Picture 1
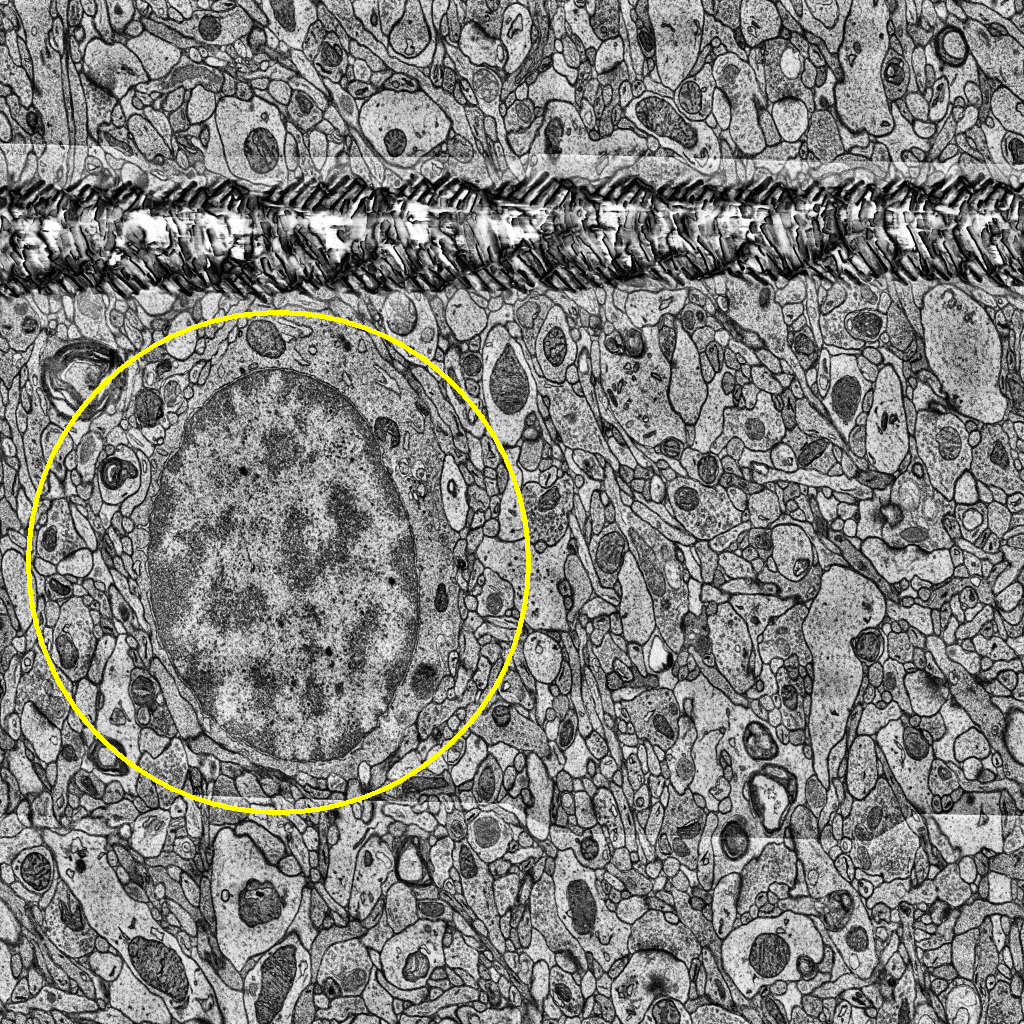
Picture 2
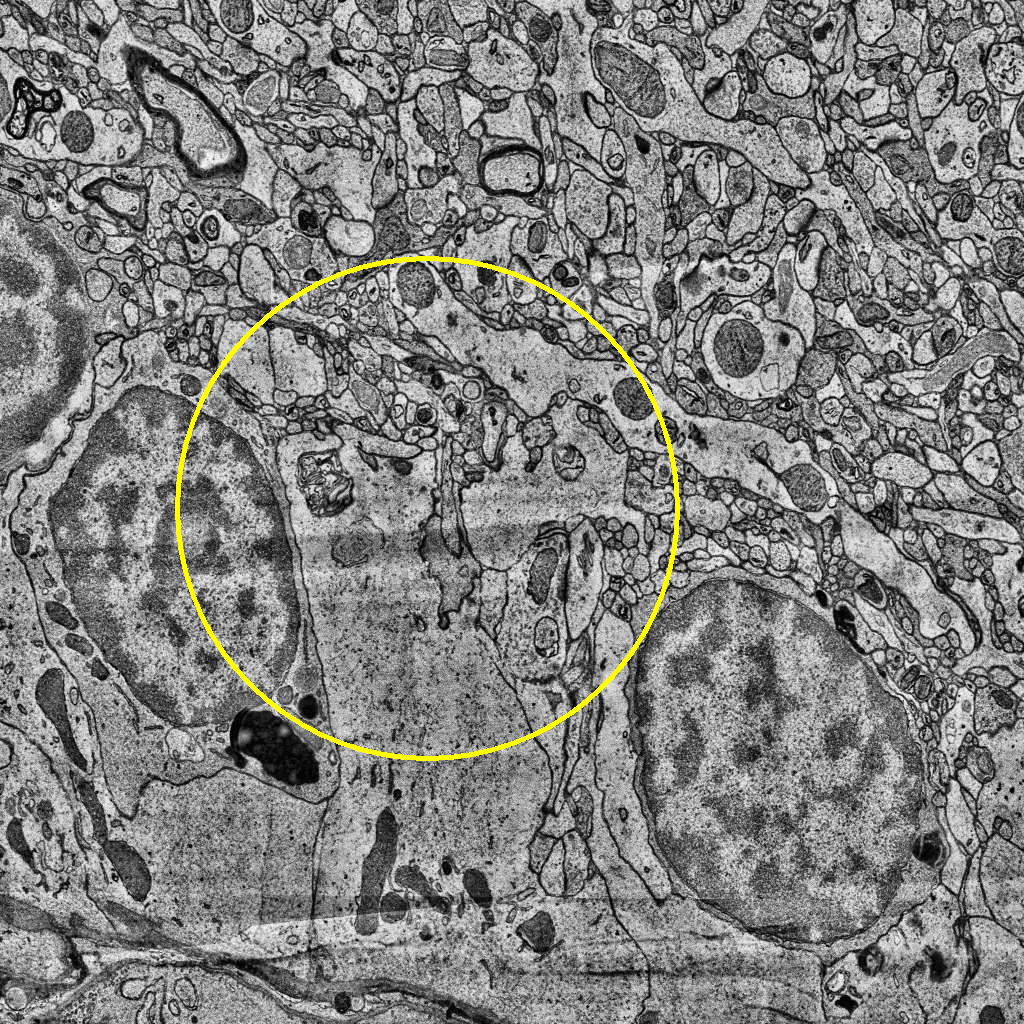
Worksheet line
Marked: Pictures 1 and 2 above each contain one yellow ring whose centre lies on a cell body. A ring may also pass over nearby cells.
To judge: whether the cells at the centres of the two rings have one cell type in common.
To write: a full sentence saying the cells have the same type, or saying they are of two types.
The cells at the centres of the rings in Picture 1 and Picture 2 have the same type.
